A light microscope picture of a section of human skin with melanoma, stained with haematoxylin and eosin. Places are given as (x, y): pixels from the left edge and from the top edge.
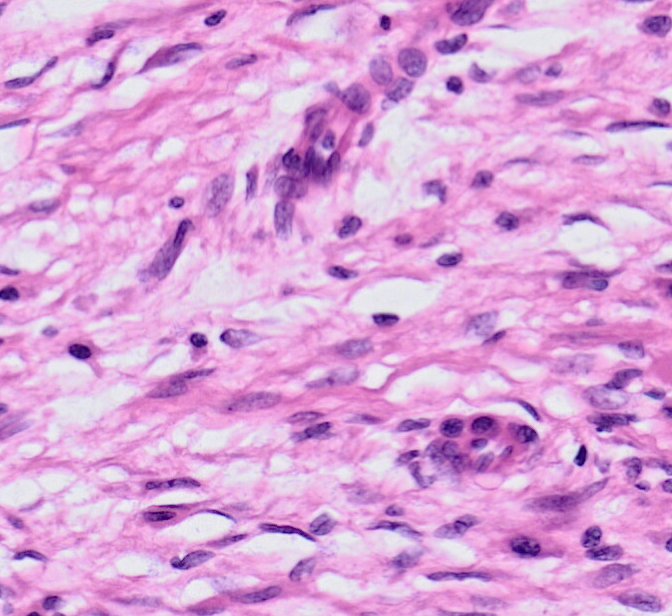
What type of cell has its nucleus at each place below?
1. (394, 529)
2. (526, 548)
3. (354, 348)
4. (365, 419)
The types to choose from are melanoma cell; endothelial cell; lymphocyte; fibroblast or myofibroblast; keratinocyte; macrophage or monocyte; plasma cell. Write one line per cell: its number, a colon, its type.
1: fibroblast or myofibroblast
2: plasma cell
3: fibroblast or myofibroblast
4: fibroblast or myofibroblast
